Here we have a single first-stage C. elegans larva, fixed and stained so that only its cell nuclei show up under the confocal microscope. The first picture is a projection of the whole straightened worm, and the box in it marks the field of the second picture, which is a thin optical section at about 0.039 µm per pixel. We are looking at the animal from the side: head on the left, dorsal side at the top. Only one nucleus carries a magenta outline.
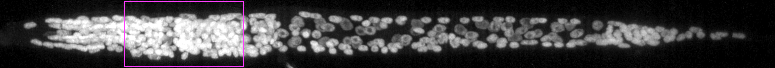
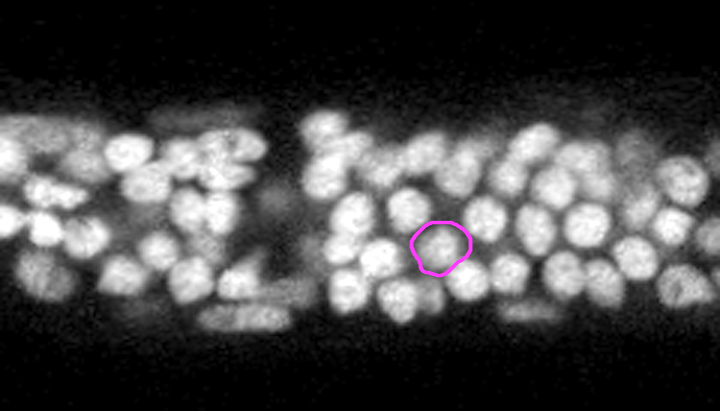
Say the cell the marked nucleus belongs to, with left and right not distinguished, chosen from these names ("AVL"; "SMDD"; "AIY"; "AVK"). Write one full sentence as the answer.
The marked nucleus is that of AVL, a neuron.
